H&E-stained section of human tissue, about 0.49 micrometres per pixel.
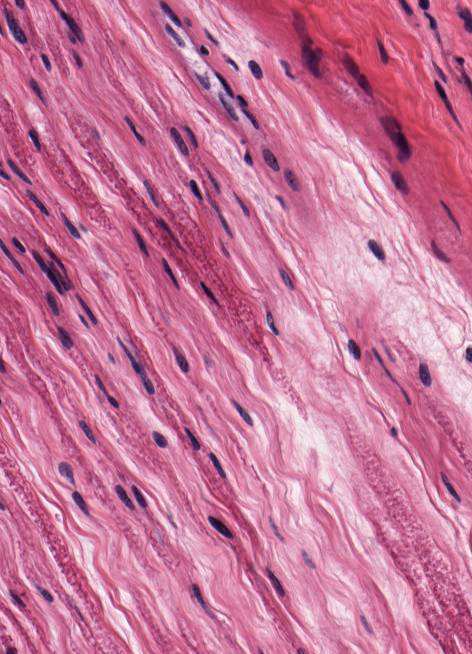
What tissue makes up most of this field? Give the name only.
nerve fascicle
